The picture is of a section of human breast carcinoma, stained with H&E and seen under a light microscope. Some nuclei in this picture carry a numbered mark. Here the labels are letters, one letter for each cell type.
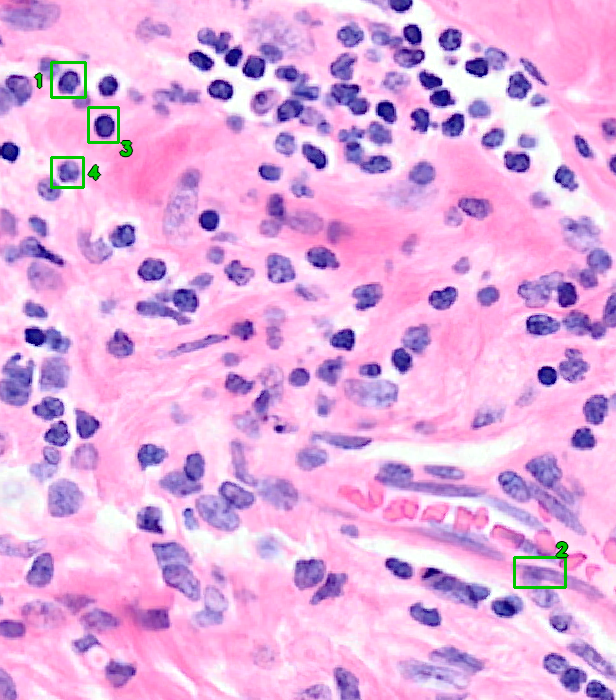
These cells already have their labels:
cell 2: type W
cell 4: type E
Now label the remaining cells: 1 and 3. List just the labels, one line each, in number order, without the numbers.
type E
type E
